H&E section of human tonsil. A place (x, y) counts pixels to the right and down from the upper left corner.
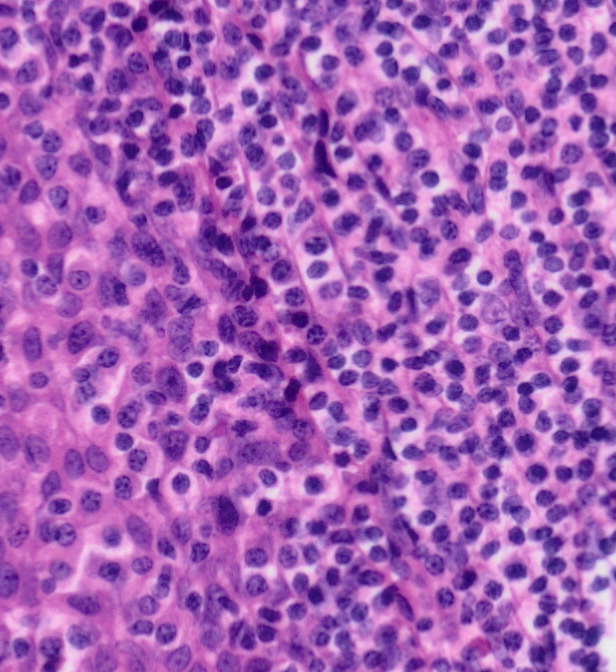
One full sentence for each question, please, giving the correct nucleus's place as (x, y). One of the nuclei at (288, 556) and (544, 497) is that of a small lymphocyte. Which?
Of these two nuclei, it is the one at (544, 497) that belongs to a small lymphocyte.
